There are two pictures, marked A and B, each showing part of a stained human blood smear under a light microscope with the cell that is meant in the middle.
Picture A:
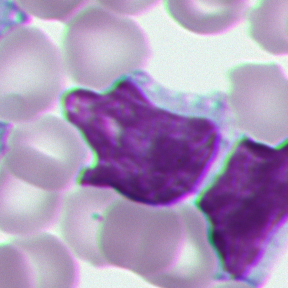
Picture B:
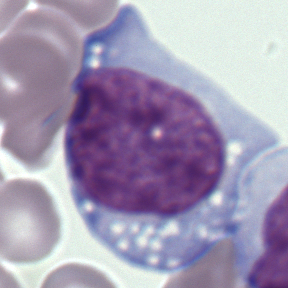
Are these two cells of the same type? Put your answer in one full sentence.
No, they differ: the cell is a typical lymphocyte in picture A and a myeloblast in picture B.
